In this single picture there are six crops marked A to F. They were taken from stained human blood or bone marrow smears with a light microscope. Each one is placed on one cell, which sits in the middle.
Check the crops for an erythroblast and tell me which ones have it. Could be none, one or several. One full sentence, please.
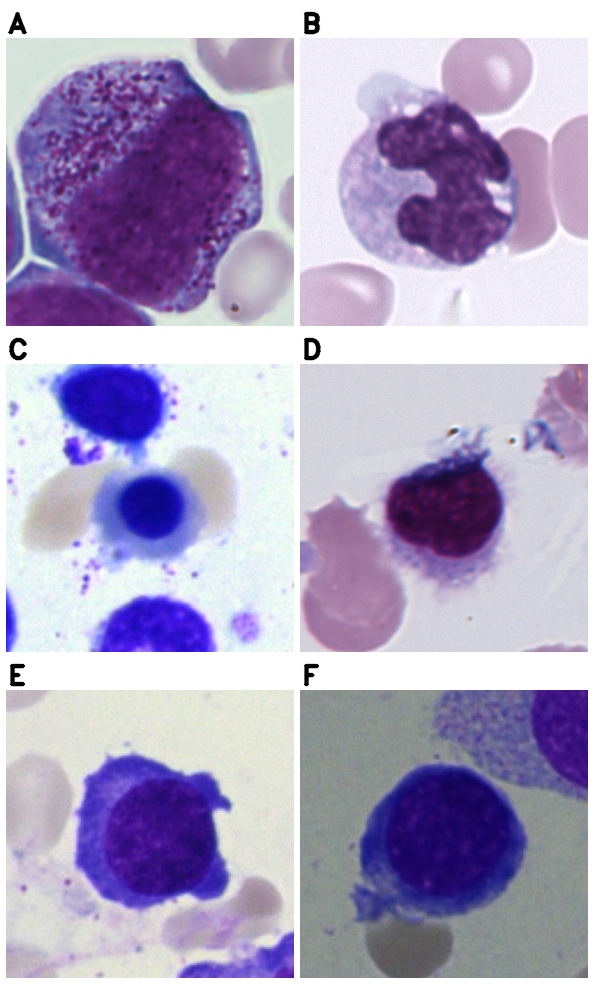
Crops C and F feature erythroblasts as the cells at their centres.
